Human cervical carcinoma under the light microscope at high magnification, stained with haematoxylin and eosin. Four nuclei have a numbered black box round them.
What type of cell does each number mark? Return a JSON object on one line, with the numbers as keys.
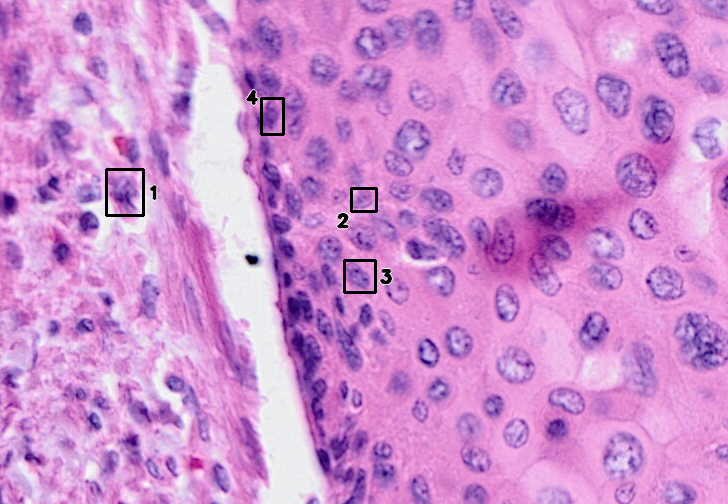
{"1": "macrophage or monocyte", "2": "squamous carcinoma cell", "3": "squamous carcinoma cell", "4": "squamous carcinoma cell"}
